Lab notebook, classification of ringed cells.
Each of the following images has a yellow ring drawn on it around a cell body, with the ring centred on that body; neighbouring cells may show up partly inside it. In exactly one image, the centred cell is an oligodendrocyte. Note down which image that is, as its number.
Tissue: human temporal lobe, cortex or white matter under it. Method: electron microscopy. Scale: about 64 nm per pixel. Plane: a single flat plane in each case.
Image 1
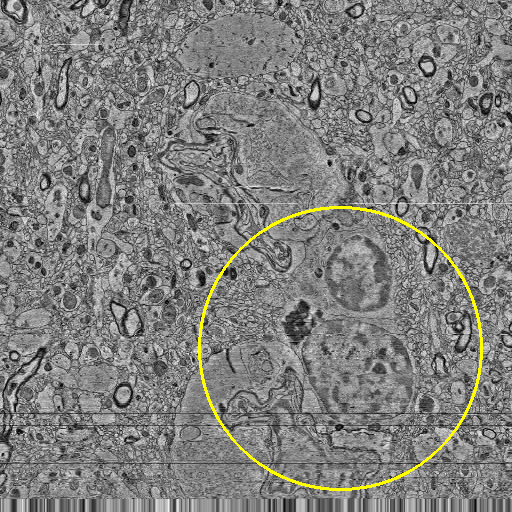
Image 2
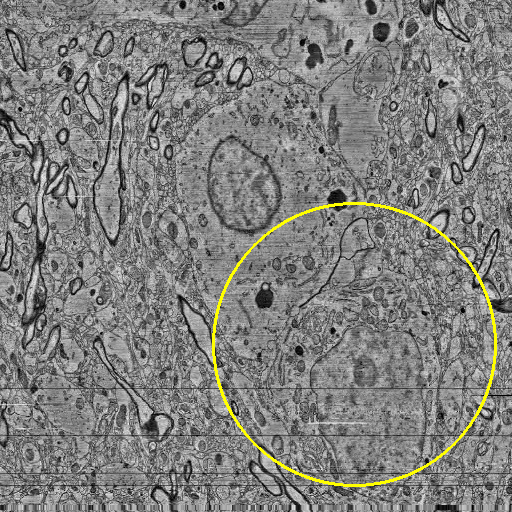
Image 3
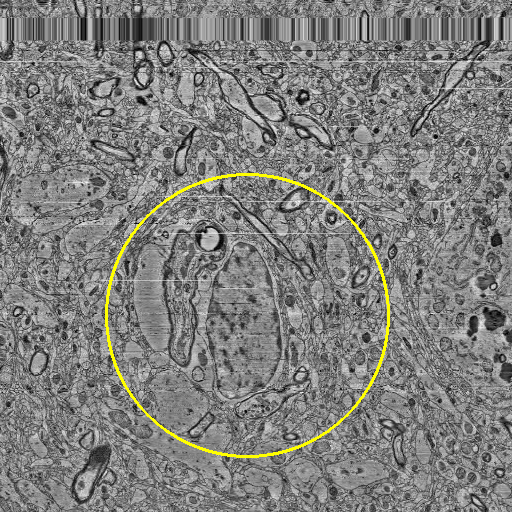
1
